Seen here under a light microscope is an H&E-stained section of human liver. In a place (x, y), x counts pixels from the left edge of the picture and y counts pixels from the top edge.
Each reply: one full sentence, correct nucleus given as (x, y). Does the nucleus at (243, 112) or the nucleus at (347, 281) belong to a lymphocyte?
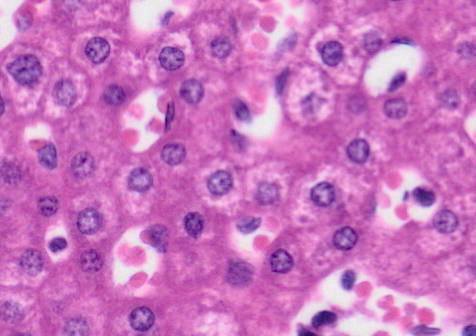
The nucleus at (347, 281) is attributed to a lymphocyte, unlike the other nucleus.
